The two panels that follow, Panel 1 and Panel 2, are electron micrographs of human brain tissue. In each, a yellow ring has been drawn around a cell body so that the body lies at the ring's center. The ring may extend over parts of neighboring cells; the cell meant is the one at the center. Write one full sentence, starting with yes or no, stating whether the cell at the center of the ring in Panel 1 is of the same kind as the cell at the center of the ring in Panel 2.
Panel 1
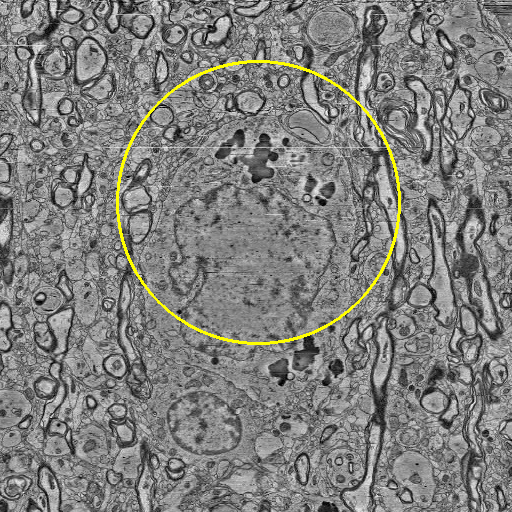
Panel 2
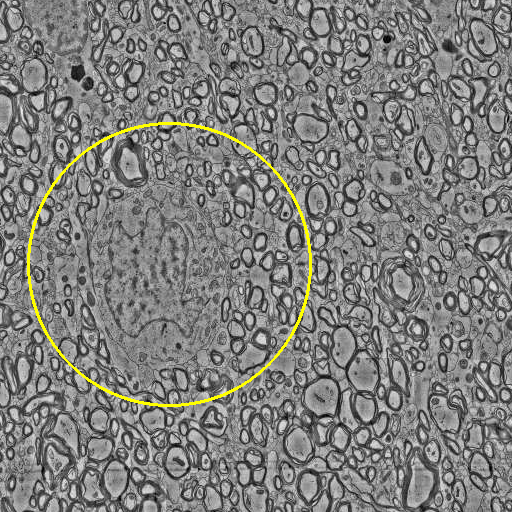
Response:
Yes, the cells in both panels are of the same kind.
